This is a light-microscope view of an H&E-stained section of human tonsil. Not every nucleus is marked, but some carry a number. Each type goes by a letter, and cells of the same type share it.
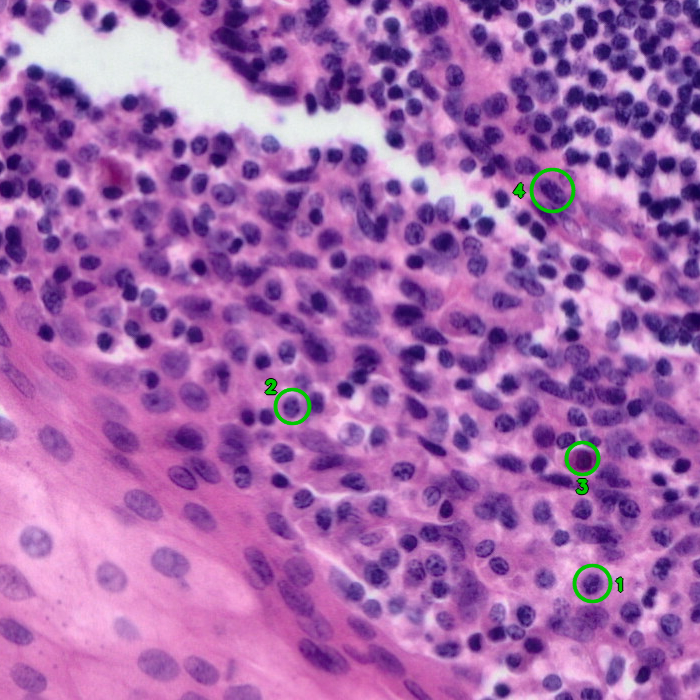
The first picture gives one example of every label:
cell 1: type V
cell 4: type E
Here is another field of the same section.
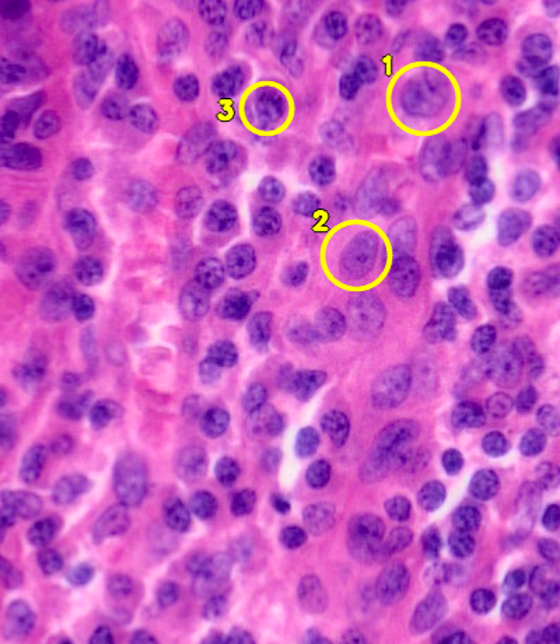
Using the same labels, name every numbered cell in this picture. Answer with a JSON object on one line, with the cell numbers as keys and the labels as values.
{"1": "type E", "2": "type E", "3": "type V"}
